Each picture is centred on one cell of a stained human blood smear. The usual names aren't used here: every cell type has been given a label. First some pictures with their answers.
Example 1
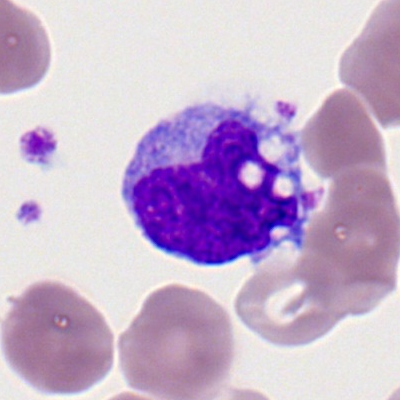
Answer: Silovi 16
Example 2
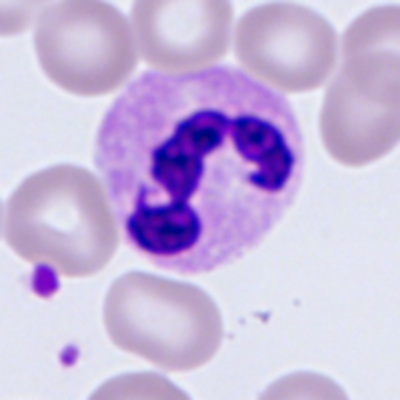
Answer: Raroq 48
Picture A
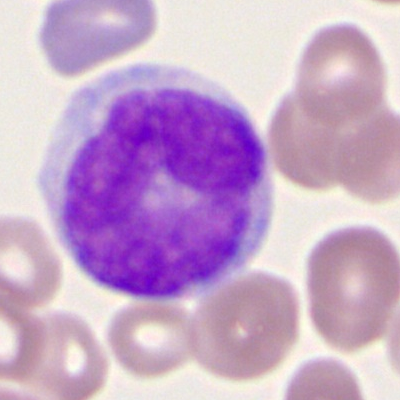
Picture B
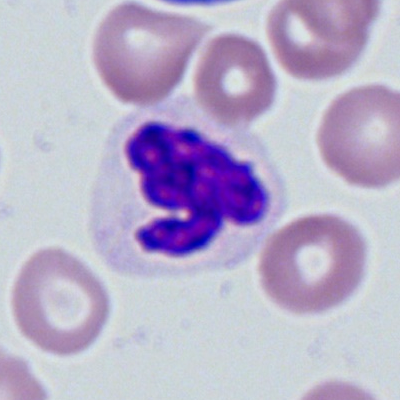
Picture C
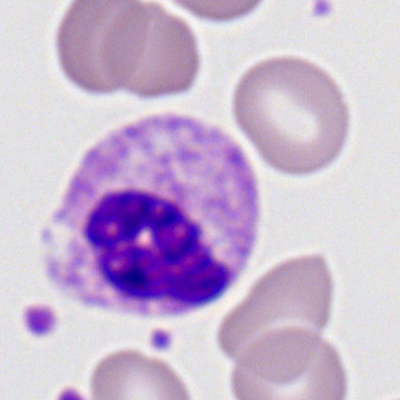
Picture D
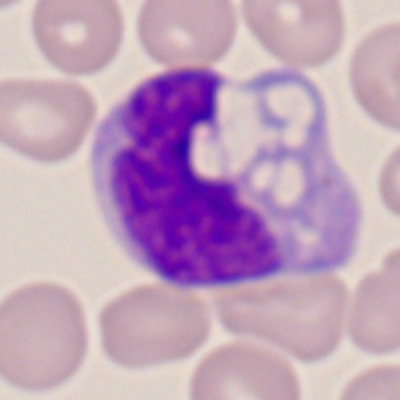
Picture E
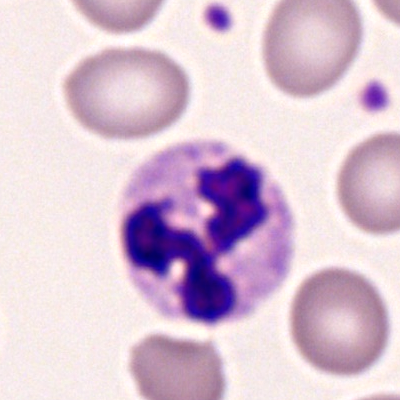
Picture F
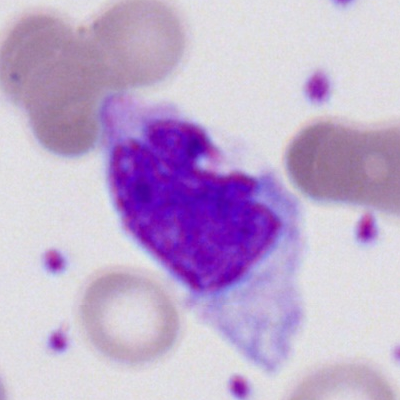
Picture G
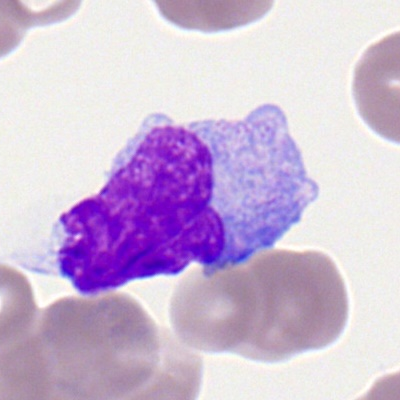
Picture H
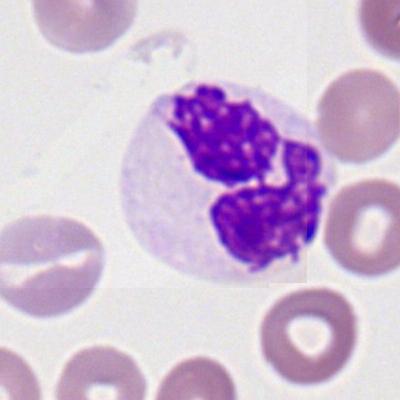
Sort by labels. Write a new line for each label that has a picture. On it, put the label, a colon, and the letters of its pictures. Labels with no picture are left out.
Silovi 16: A, D, F, G
Raroq 48: B, C, E, H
